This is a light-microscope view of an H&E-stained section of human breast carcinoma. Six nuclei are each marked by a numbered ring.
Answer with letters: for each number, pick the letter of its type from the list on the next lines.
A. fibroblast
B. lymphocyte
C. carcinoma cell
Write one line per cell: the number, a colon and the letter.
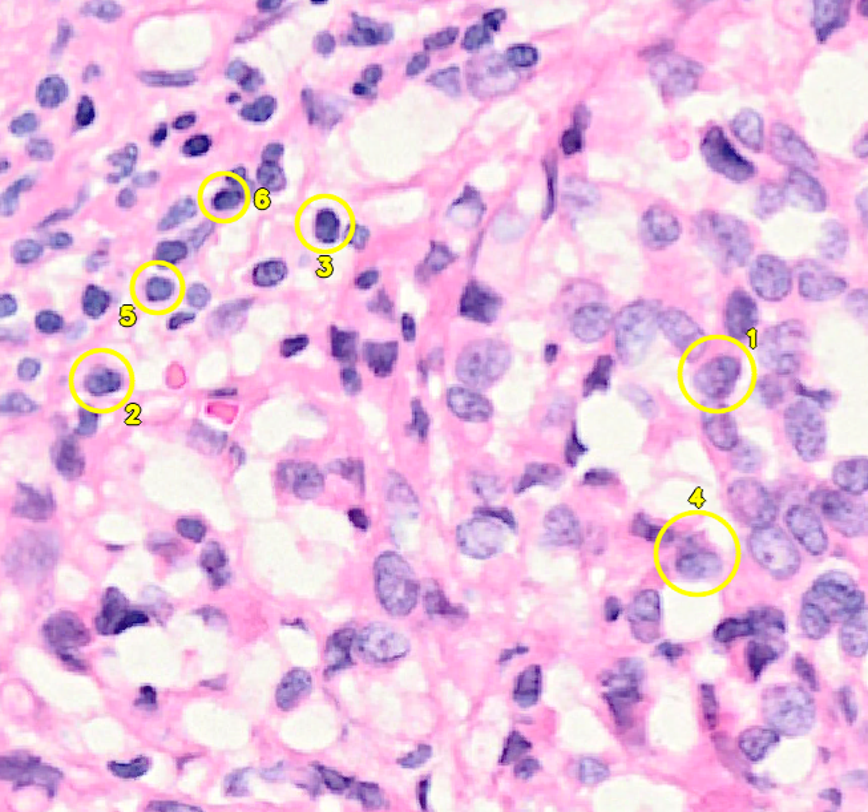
1: C
2: B
3: B
4: C
5: B
6: B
